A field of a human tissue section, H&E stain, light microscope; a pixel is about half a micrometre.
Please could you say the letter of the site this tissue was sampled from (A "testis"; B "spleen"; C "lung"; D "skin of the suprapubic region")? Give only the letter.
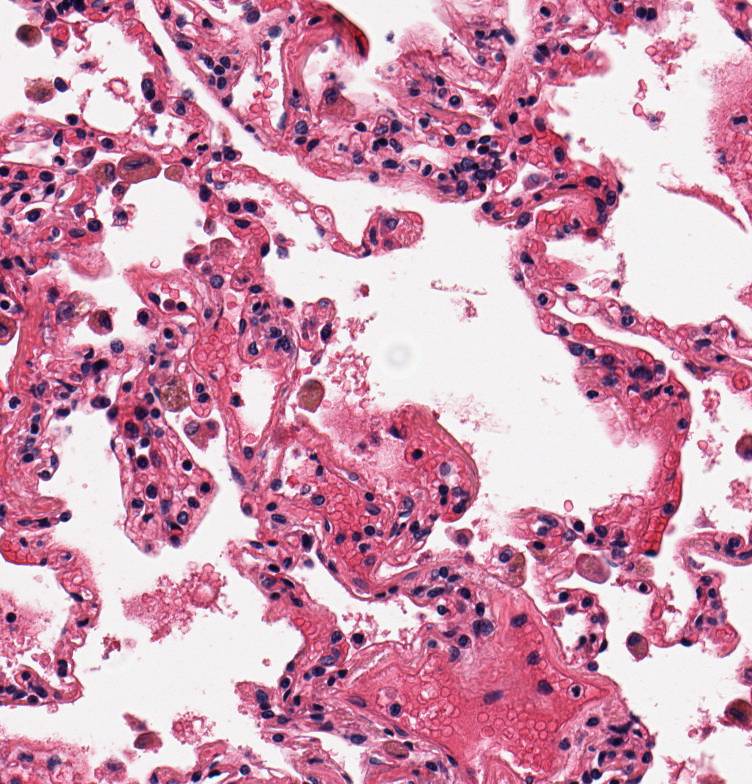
C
